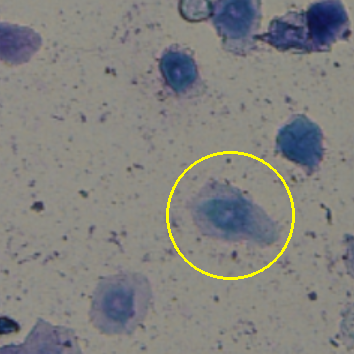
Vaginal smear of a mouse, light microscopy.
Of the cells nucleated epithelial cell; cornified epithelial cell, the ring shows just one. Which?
The ring shows a nucleated epithelial cell.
